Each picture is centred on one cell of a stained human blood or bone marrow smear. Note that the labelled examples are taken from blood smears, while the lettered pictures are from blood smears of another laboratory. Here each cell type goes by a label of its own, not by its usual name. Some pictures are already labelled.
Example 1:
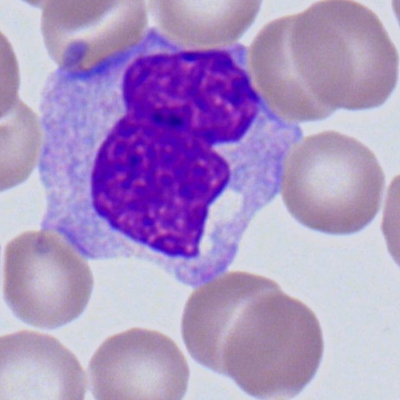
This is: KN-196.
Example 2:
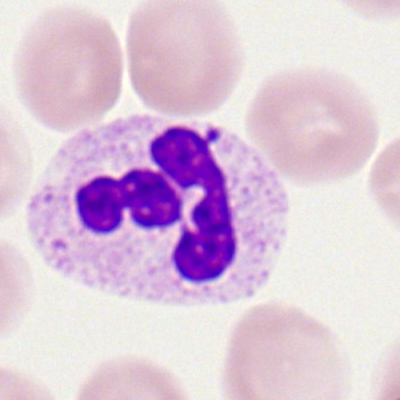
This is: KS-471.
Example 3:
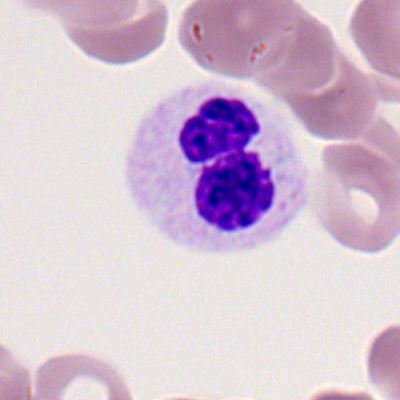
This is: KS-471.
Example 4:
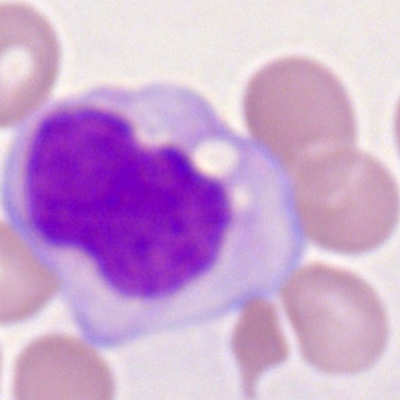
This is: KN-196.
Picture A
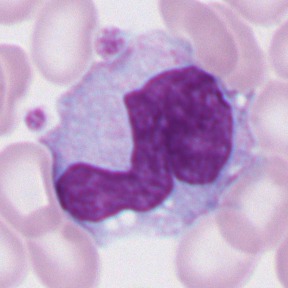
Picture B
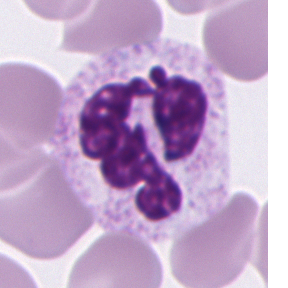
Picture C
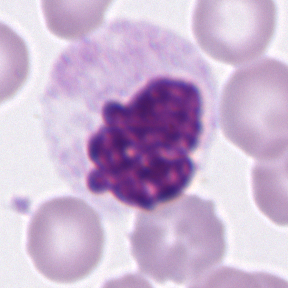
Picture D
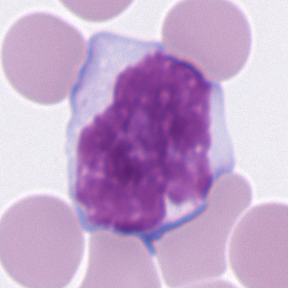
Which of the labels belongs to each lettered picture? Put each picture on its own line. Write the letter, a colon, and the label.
A: KN-196.
B: KS-471.
C: KS-471.
D: KN-196.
